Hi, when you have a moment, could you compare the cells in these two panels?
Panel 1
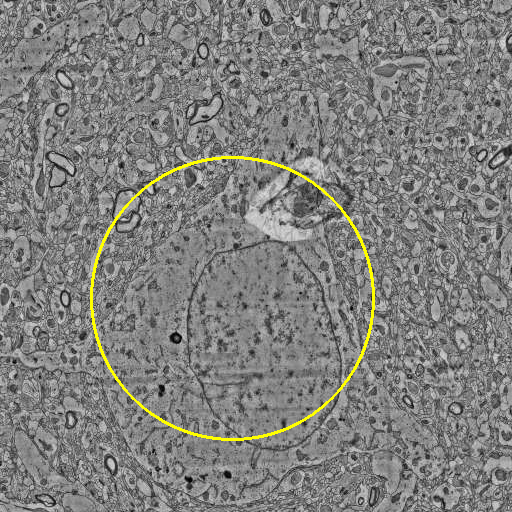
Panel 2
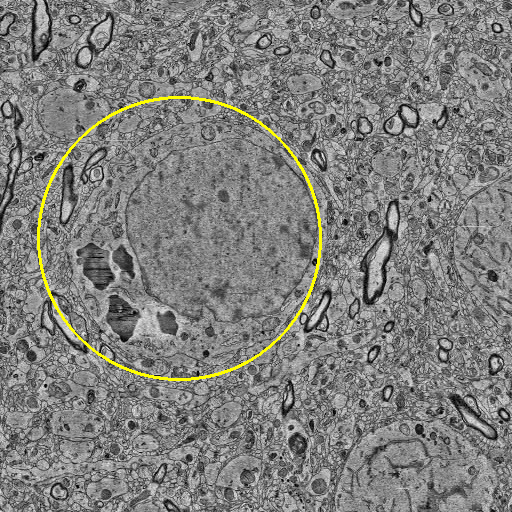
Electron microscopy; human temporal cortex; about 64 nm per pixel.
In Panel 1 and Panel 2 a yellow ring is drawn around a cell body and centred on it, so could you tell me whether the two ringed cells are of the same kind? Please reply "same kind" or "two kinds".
two kinds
